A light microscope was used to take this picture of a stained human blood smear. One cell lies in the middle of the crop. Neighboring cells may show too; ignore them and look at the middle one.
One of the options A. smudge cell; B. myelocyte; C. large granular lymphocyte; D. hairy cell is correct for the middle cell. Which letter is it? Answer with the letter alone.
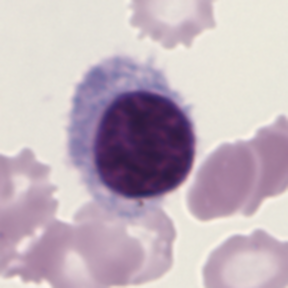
D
